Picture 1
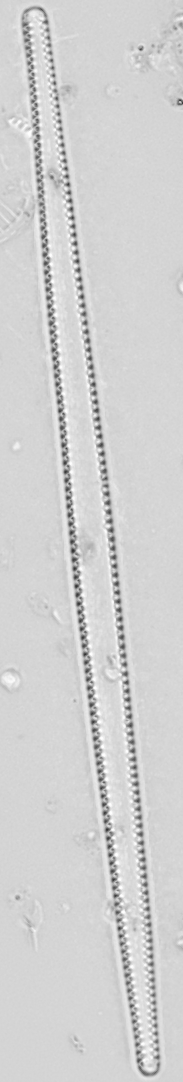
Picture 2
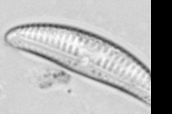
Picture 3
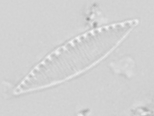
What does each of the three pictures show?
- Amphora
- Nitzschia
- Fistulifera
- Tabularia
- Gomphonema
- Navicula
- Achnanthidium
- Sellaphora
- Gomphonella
1. Tabularia
2. Amphora
3. Nitzschia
